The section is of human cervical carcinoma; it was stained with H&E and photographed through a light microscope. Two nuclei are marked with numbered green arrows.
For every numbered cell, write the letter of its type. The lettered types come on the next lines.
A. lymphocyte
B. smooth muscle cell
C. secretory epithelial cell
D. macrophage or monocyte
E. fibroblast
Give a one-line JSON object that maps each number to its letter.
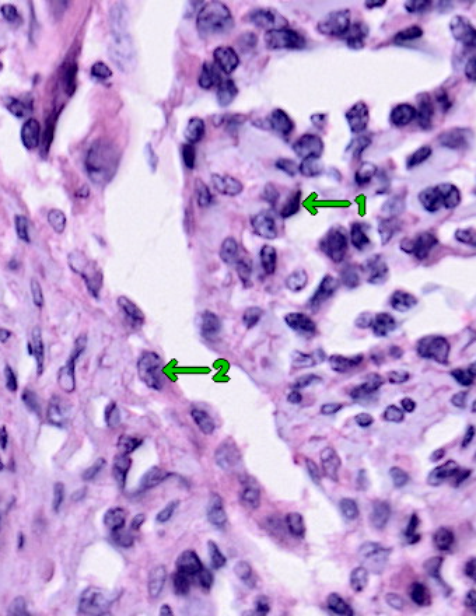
{"1": "A", "2": "D"}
